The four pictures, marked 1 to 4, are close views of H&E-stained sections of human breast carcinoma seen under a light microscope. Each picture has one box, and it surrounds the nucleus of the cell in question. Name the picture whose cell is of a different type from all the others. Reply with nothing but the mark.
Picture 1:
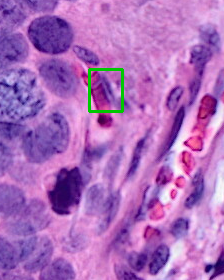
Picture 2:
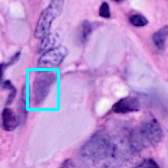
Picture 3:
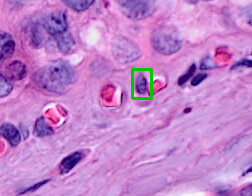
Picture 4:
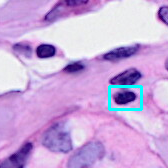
4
